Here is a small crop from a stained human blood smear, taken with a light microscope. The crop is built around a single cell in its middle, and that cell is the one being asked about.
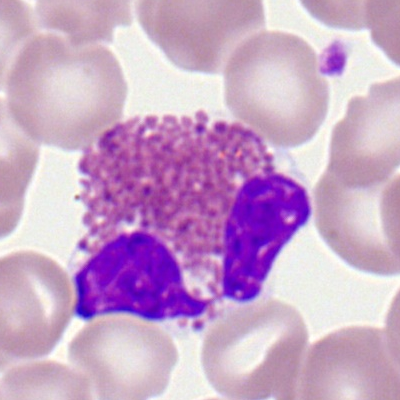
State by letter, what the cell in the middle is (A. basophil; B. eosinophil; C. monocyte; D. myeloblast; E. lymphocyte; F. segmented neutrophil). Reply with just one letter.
B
